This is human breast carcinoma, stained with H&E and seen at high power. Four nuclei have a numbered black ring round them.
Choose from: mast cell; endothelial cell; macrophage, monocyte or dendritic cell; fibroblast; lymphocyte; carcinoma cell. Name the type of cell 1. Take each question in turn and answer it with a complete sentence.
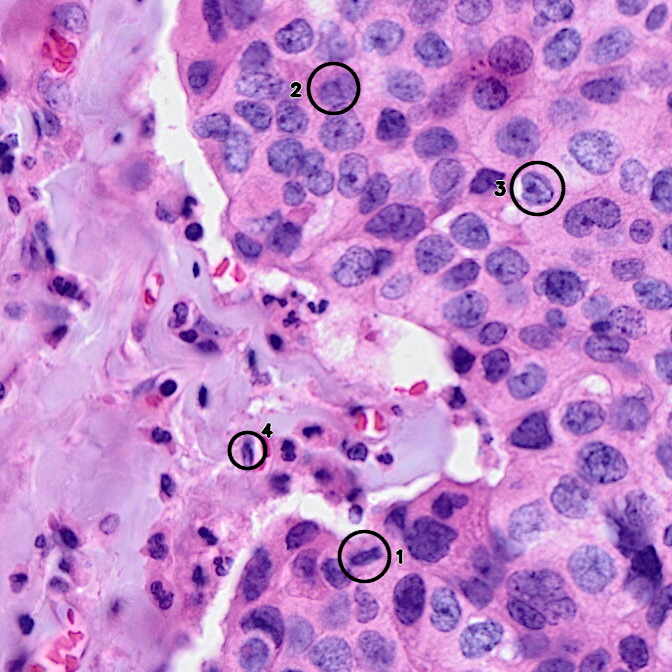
Cell 1, as marked in the section, is a carcinoma cell.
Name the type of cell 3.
The mark numbered 3 indicates the nucleus of a carcinoma cell.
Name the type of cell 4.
The correct answer for cell 4 is an endothelial cell.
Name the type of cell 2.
Cell 2 is classified as a carcinoma cell.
